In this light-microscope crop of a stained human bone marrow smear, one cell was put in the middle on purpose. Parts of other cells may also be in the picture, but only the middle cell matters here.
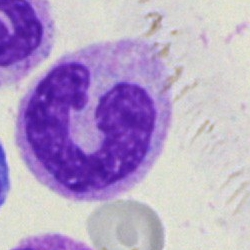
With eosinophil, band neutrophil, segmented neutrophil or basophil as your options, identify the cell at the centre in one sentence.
For this crop, the cell in the middle is a band neutrophil.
